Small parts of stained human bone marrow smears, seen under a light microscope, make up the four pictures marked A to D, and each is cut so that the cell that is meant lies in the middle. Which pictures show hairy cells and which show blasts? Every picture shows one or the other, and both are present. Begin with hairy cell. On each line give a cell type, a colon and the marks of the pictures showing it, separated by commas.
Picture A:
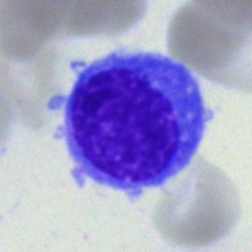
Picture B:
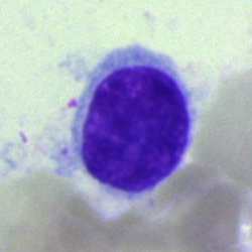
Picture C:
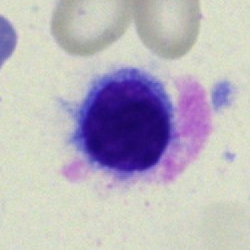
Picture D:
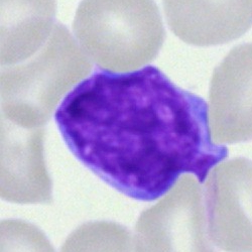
hairy cell: B, C
blast: A, D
